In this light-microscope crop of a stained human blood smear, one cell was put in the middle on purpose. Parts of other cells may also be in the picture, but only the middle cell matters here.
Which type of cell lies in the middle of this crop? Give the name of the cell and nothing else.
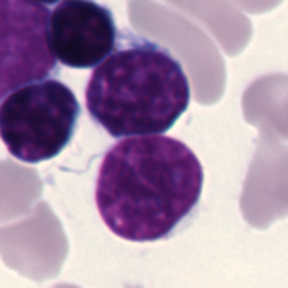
myeloblast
